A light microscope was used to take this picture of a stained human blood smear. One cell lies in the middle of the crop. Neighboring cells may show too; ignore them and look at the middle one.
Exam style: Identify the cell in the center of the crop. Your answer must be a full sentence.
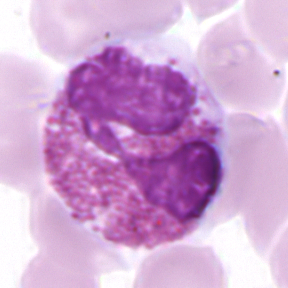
Present in the middle of the crop is an eosinophil.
